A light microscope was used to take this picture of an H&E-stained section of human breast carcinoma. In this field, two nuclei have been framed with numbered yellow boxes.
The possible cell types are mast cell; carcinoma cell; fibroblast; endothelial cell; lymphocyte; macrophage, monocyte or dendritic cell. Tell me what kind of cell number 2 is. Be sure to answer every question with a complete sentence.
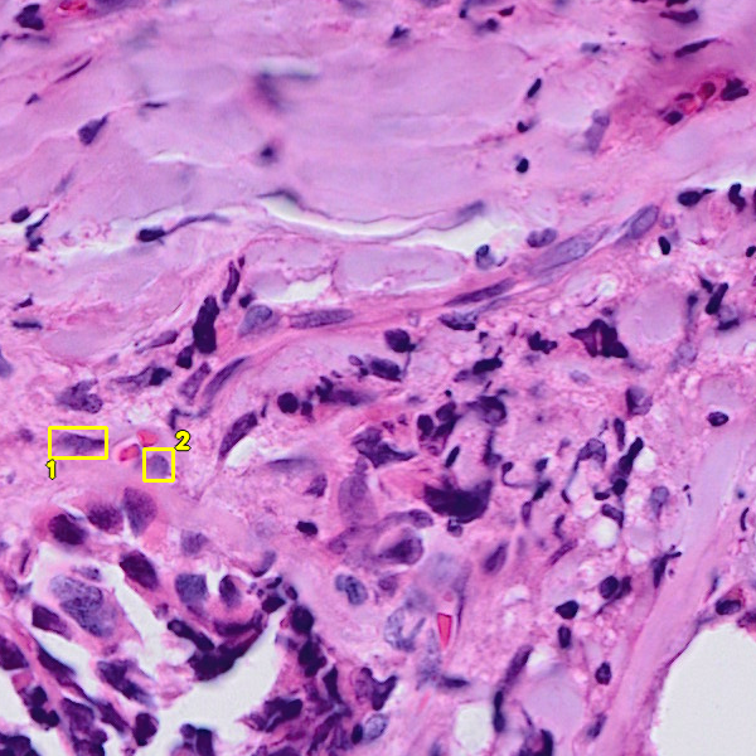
The marked cell with the number 2 is recognised as an endothelial cell.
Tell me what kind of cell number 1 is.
Cell 1 is classified as a fibroblast.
